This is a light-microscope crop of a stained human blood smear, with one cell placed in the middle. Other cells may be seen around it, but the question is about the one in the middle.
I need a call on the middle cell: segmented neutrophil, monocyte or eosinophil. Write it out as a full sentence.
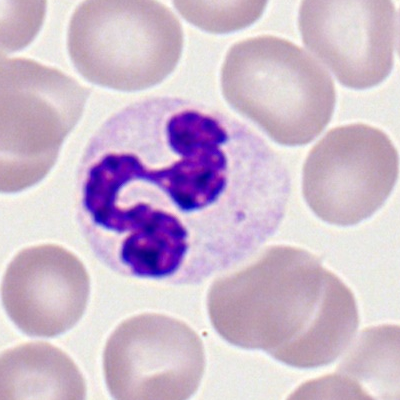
At the middle of the frame sits a segmented neutrophil.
